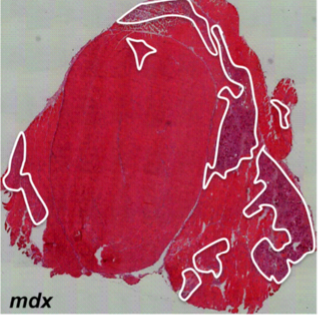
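Scattered through it, mainly along the edges and on the right side, are patches that stain purple and look densely speckled with dark dots. These patches stand out against the smooth red muscle and are outlined by white lines. The largest purple areas lie on the right side of the section, between fascicles.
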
